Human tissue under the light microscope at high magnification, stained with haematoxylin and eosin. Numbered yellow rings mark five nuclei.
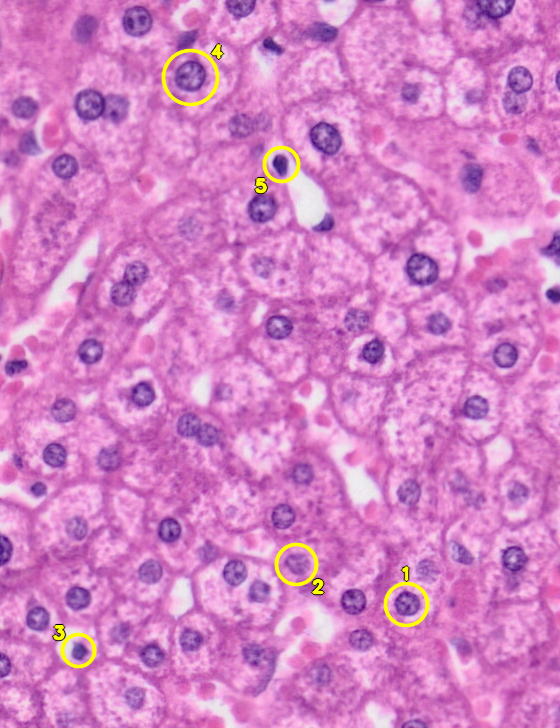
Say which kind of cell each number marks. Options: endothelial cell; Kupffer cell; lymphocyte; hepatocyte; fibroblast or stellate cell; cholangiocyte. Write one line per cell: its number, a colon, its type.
1: hepatocyte
2: hepatocyte
3: lymphocyte
4: hepatocyte
5: lymphocyte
